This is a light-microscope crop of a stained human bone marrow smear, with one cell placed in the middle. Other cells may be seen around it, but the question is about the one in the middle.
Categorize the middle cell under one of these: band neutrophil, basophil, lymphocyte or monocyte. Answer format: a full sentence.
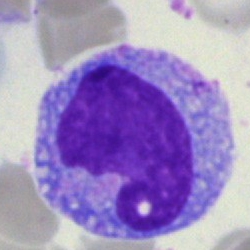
Looking at the middle of the crop, the cell there is a monocyte.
